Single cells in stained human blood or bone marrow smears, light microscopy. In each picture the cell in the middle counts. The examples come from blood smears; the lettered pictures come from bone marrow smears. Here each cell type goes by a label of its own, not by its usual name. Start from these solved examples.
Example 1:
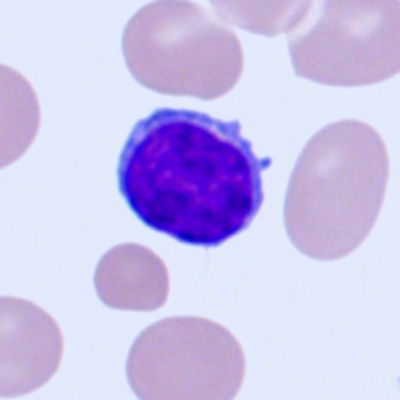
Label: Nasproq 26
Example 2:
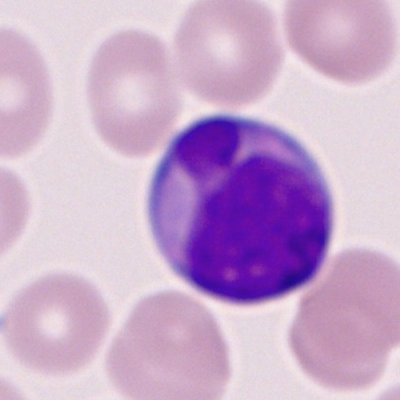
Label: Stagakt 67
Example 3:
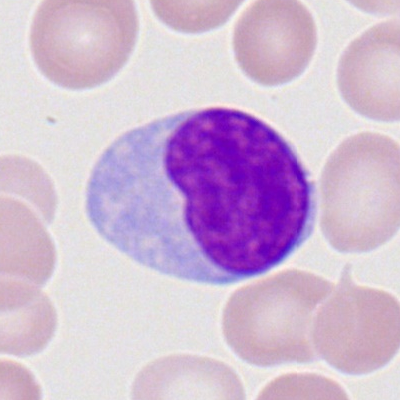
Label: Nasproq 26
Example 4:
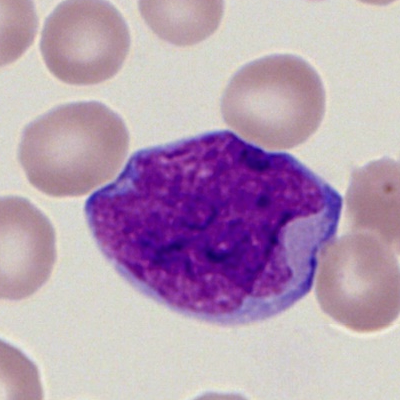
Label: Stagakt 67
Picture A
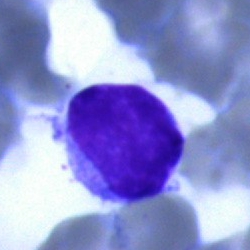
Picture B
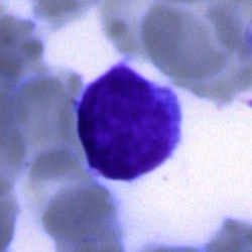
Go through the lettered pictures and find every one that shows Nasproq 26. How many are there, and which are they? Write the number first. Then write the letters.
2: A, B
